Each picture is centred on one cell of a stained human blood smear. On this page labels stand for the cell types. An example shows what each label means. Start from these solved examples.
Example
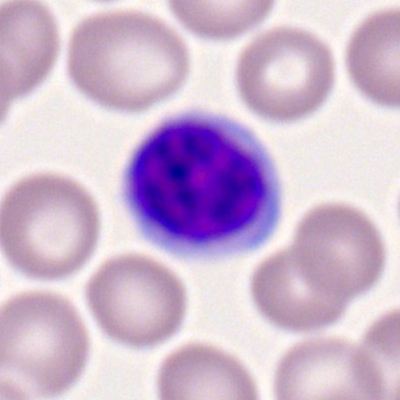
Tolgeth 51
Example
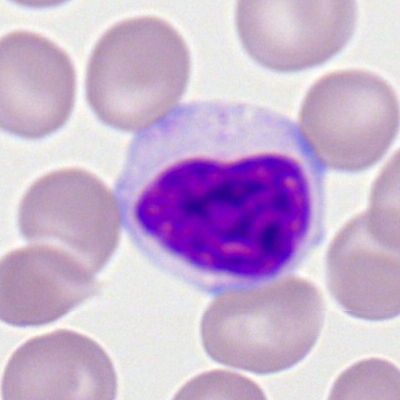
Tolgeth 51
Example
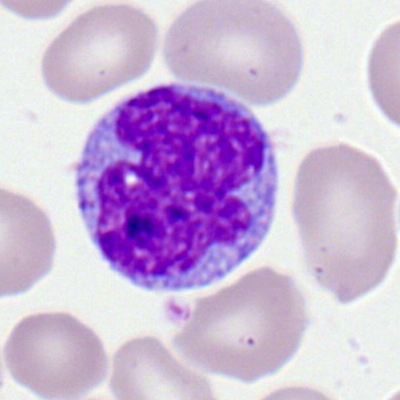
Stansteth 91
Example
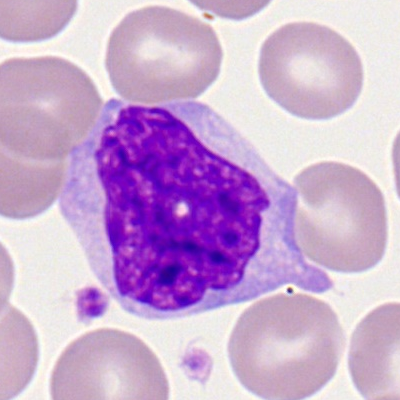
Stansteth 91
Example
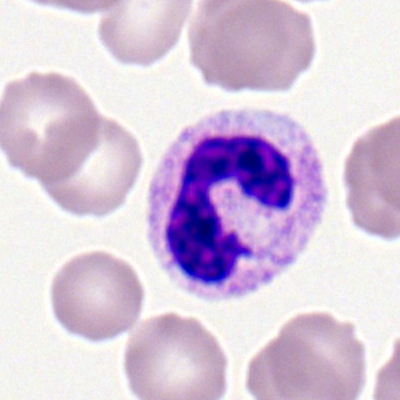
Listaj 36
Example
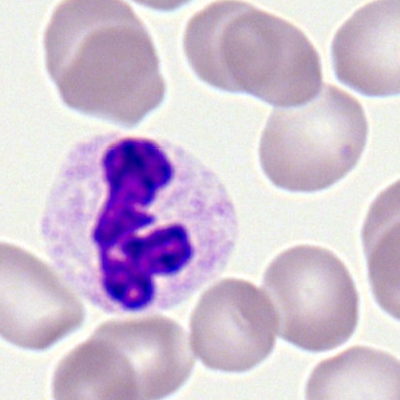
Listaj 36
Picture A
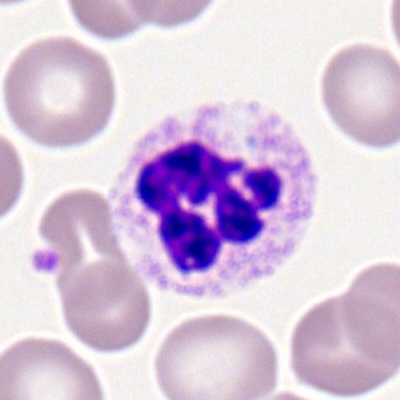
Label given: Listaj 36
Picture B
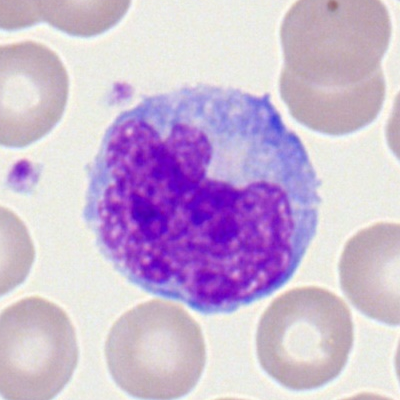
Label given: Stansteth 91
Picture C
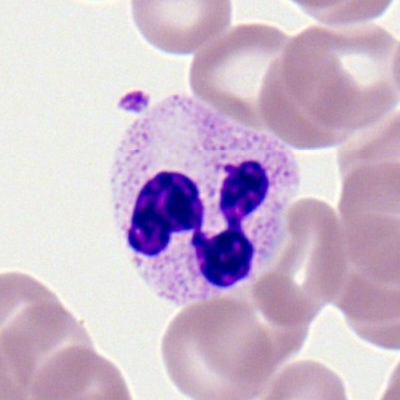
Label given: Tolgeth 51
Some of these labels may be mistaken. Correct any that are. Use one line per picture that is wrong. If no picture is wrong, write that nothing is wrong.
C: not Tolgeth 51 but Listaj 36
